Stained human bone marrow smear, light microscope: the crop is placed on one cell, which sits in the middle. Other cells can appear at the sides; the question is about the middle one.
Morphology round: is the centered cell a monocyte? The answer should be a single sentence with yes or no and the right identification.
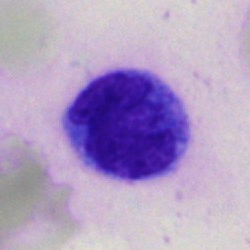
Yes, the identity of the central cell is that of a monocyte.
